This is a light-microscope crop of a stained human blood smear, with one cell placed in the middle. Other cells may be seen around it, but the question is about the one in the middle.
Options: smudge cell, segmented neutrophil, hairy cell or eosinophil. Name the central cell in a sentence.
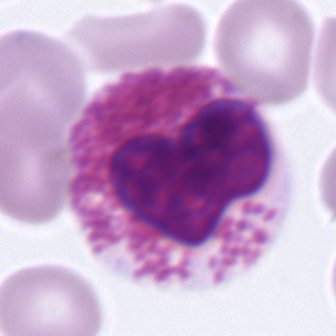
The crop centres on a single cell, and that cell is an eosinophil.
